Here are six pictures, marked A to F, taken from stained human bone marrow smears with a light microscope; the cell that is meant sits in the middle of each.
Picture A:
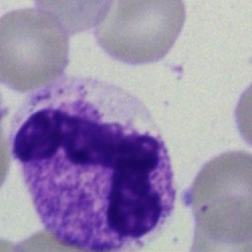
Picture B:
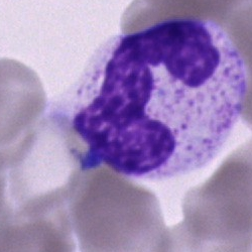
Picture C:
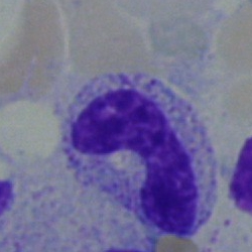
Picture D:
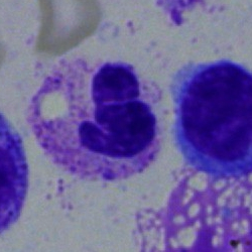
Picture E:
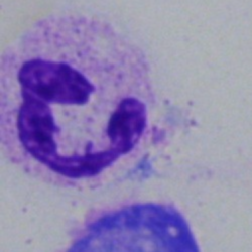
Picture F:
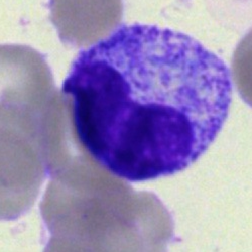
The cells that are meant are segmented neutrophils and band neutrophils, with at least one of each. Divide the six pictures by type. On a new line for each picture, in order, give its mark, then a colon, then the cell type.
A: segmented neutrophil
B: band neutrophil
C: band neutrophil
D: segmented neutrophil
E: segmented neutrophil
F: band neutrophil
